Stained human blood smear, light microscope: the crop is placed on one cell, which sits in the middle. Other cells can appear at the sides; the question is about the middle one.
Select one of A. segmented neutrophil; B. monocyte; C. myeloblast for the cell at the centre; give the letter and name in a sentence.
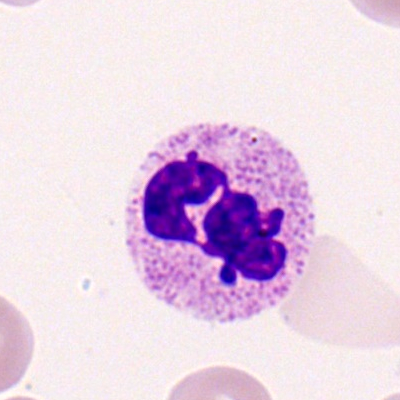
The cell right in the middle is a segmented neutrophil, so option A is the one.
